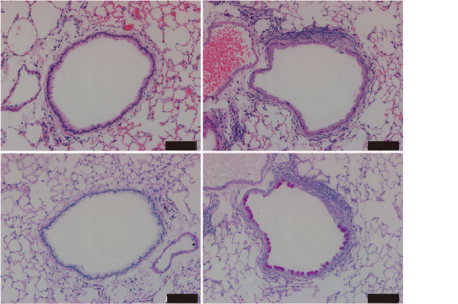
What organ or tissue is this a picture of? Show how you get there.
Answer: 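Large airway lumens lined by epithelium with a connective tissue cuff. Thin-walled alveolar spaces surround the airways. A vessel packed with red blood cells lies next to an airway. On this evidence: lung.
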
